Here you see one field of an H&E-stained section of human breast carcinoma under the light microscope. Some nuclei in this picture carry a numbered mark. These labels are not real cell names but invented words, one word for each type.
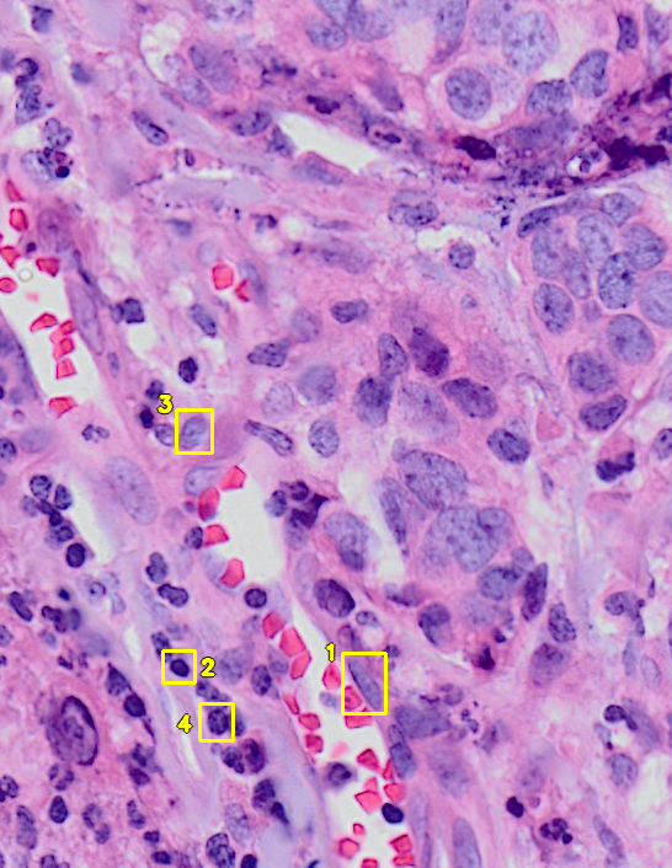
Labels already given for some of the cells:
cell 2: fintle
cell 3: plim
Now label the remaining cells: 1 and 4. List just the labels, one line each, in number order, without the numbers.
plim
fintle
